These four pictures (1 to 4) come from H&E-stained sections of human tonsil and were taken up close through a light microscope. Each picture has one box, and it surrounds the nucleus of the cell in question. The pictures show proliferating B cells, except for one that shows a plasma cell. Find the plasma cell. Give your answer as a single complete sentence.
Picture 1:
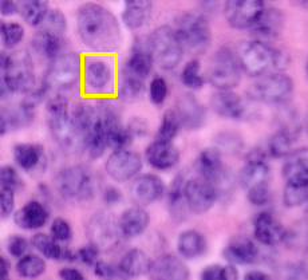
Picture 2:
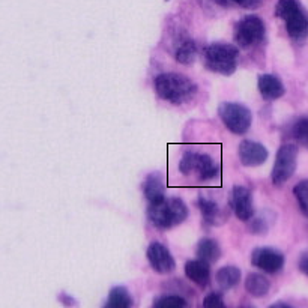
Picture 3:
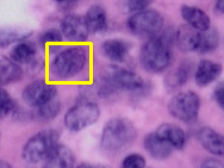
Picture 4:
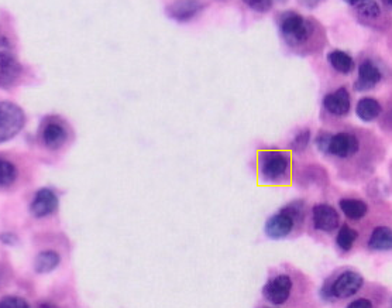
The plasma cell is the one in picture 4.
